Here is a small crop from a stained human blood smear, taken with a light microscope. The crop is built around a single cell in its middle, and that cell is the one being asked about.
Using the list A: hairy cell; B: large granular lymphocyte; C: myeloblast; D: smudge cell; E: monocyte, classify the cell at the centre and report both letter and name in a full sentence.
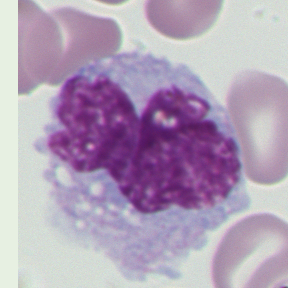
Option E is correct here, and the cell in the middle is a monocyte.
